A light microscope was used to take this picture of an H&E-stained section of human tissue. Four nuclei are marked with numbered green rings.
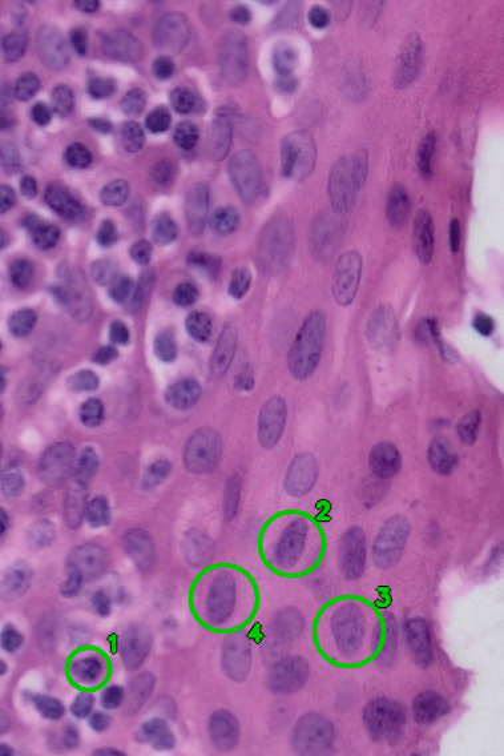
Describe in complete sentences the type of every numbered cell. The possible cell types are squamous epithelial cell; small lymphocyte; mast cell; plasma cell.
Cell 1 is a plasma cell, cell 2 is a squamous epithelial cell, cell 3 is a squamous epithelial cell and cell 4 is a squamous epithelial cell.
